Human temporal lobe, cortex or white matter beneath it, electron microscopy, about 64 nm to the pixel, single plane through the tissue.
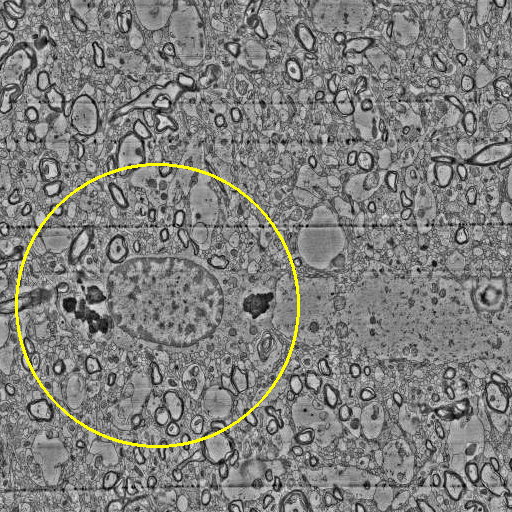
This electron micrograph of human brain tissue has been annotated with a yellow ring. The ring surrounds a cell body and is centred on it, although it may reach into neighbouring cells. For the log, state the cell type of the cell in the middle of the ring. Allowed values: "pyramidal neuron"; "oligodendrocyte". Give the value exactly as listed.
oligodendrocyte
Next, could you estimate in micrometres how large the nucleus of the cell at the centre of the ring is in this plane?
In this plane, about 8 micrometres in length and 6 in width.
